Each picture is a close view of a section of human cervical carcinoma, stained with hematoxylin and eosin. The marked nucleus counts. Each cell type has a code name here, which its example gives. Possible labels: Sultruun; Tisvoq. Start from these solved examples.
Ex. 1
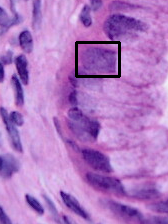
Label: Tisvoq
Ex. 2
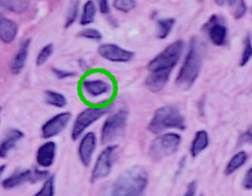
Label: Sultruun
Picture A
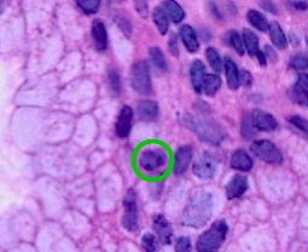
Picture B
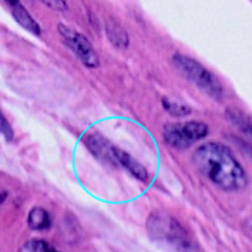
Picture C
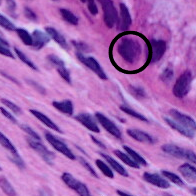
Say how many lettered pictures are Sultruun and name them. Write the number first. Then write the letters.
1, namely B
